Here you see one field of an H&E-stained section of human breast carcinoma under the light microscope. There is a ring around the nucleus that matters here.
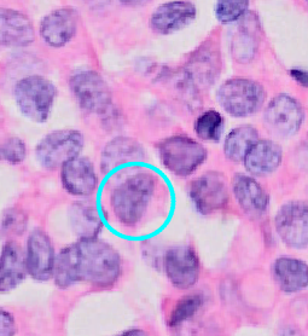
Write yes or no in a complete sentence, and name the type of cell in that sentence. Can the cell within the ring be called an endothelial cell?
No, the cell within the ring is not an endothelial cell, being instead a carcinoma cell.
